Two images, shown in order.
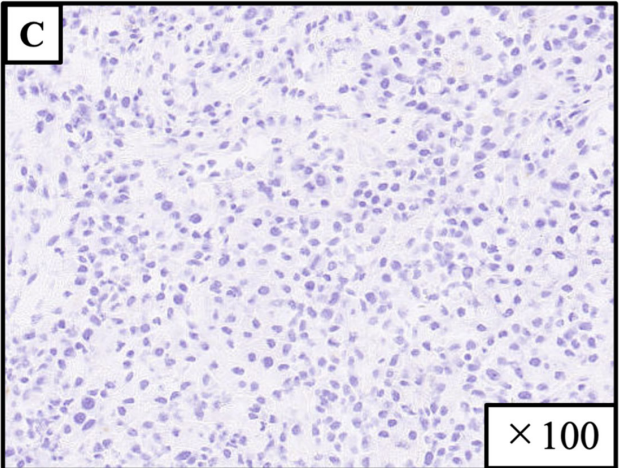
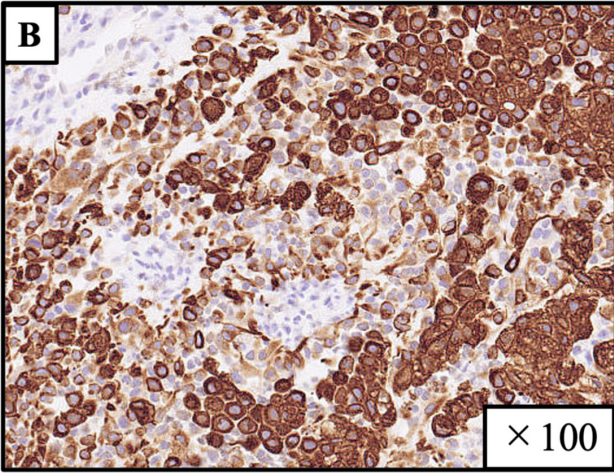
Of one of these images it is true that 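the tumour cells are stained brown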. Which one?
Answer: the second image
